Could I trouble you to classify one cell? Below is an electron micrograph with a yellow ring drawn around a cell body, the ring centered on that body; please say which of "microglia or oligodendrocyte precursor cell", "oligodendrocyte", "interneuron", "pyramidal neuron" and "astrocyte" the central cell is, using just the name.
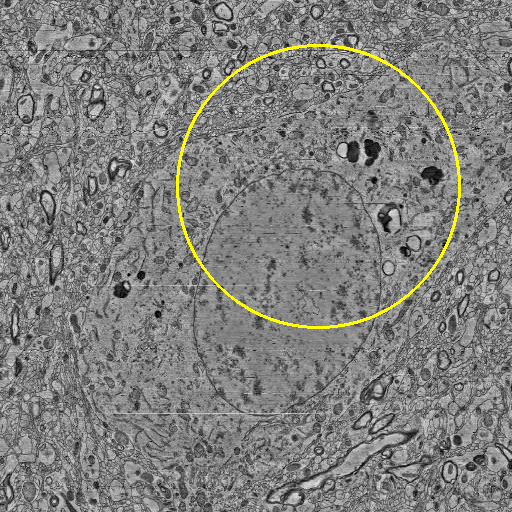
pyramidal neuron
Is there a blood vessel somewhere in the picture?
No, the image shows no blood vessel.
